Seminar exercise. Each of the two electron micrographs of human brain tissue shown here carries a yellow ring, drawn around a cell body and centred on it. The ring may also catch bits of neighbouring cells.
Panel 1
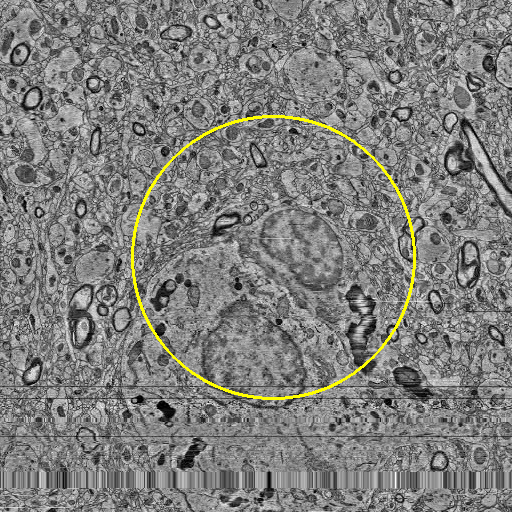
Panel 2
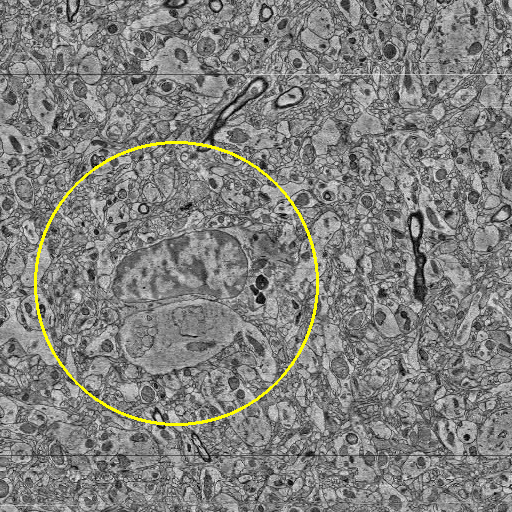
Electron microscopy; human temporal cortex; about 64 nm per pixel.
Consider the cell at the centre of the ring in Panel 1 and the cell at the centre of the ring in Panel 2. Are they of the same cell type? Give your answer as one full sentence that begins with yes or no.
No, the two cells are of two types.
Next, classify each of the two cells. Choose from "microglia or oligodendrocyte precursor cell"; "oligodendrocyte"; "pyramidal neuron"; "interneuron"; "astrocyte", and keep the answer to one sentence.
In the first picture it is an oligodendrocyte; in the second it is a microglial cell or oligodendrocyte precursor cell.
